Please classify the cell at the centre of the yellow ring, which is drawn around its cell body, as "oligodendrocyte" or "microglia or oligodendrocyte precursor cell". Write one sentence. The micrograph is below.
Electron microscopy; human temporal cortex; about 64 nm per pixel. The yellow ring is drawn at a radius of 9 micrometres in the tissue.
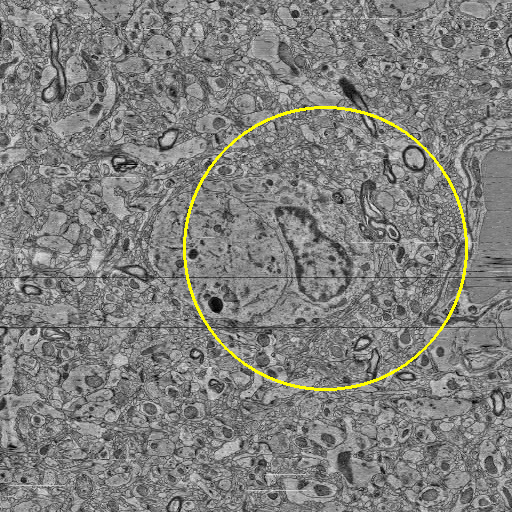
The cell at the ring's centre is classified as a microglial cell or oligodendrocyte precursor cell.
